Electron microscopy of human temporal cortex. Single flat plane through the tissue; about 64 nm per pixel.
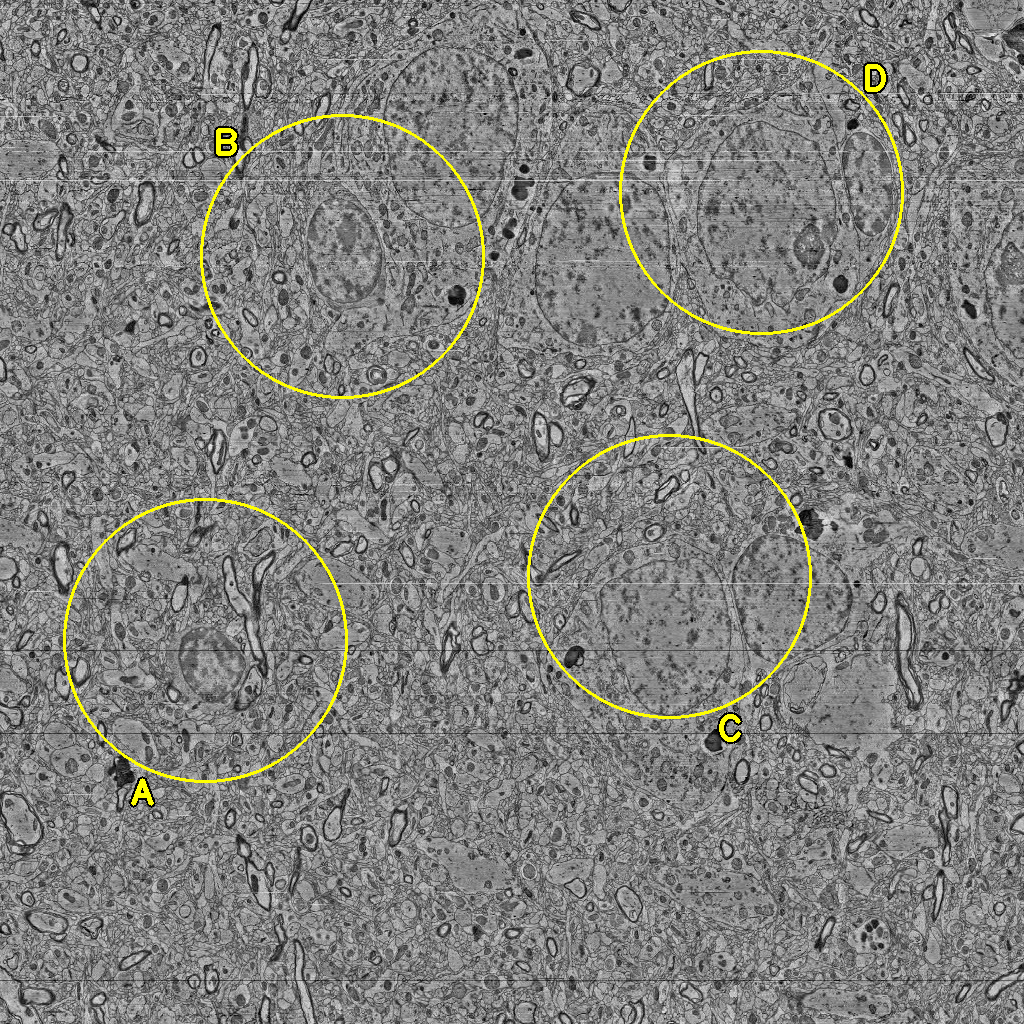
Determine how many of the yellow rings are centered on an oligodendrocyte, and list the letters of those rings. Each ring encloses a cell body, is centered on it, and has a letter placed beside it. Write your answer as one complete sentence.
Those rings with the letters A and B, two in all, are each centred on an oligodendrocyte.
